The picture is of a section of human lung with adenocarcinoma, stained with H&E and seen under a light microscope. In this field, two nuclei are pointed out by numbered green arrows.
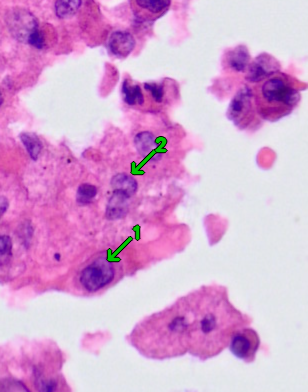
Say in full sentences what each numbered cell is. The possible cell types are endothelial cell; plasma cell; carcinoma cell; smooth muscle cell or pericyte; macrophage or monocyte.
Cell 1 is a carcinoma cell. Cell 2 is a macrophage or monocyte.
